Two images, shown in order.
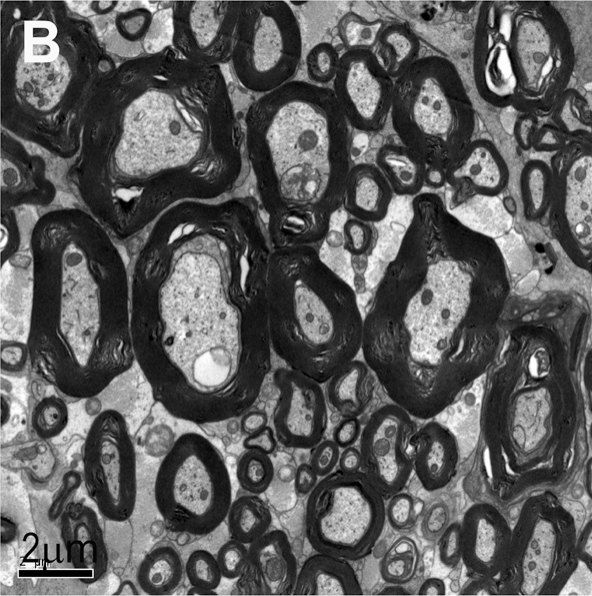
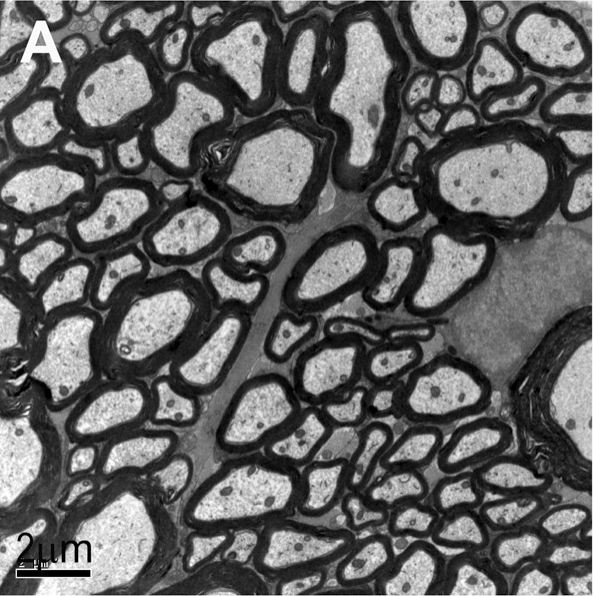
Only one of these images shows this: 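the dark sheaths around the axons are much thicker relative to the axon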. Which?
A: the first image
